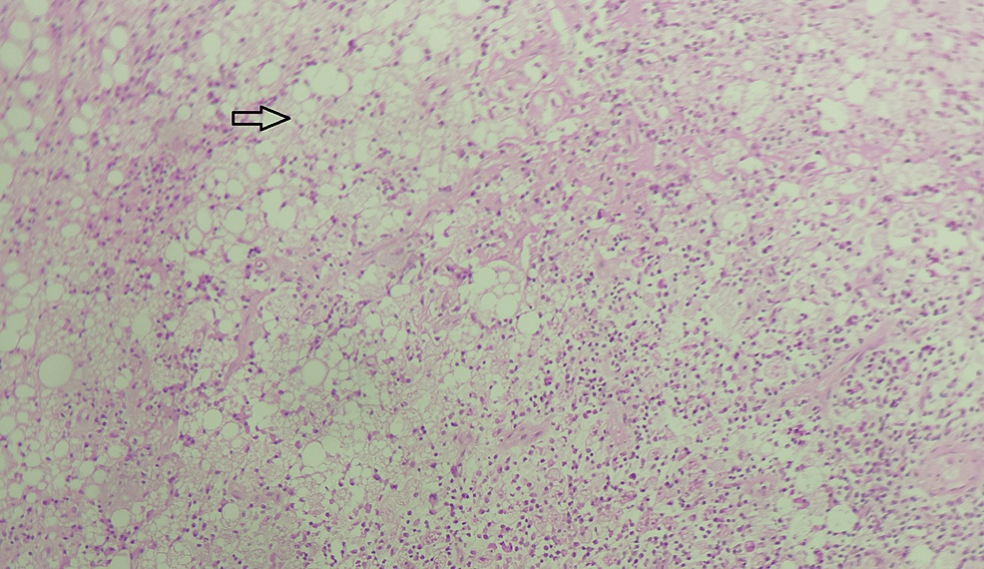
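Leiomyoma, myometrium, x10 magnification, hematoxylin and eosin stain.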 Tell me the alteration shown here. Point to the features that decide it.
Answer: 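Much of the field is taken up by pale vacuolated cells. Many small dark inflammatory nuclei are scattered through the field. Pink fibrillar strands run between the cells. So: xanthogranulomatous reaction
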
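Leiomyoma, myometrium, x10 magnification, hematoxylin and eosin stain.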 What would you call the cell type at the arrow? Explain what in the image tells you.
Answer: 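The arrow points to a field crowded with pale, clear vacuolated spaces. Small dark nuclei sit among the bubbly, pale cytoplasm. So: foamy macrophages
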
